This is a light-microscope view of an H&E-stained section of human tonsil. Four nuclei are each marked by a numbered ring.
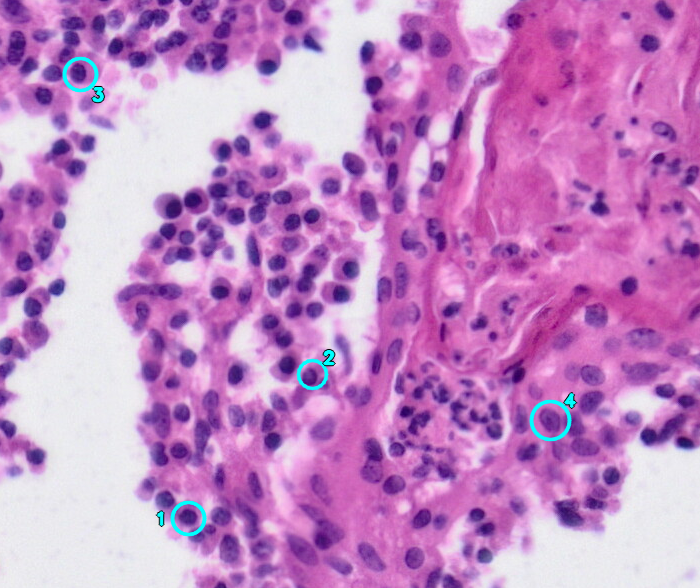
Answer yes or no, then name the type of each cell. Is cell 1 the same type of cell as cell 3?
Yes, both are plasma cells.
